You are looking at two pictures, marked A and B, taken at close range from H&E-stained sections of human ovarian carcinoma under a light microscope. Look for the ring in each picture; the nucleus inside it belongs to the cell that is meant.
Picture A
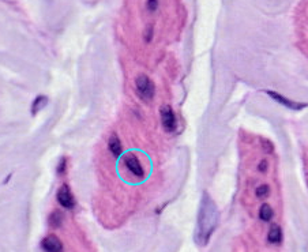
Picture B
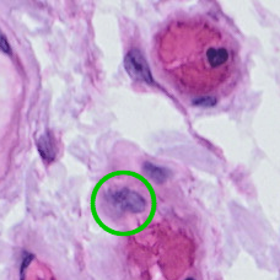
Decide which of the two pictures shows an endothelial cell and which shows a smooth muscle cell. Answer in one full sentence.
Picture B shows an endothelial cell, while picture A shows a smooth muscle cell.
